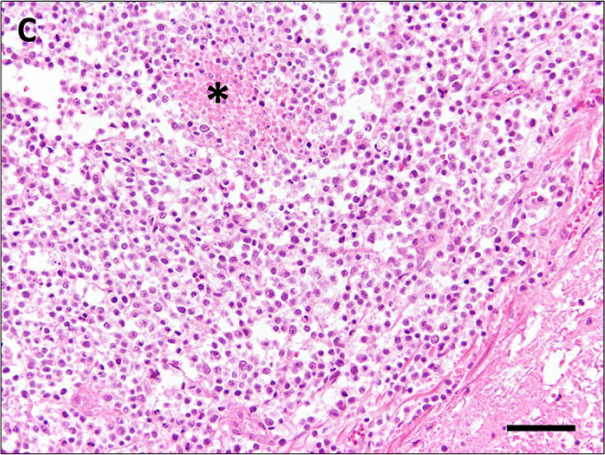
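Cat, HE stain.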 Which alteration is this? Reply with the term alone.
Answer: Neoplastic infiltrates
